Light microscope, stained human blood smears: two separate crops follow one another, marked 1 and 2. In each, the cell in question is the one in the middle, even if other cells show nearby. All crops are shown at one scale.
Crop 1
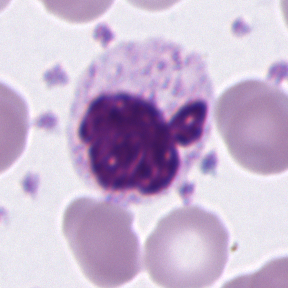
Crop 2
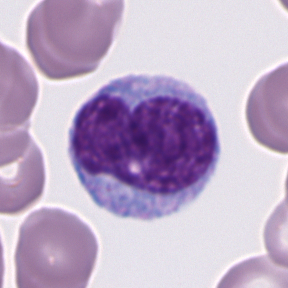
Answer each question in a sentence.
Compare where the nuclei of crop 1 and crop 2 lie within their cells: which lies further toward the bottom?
In crop 1 the nucleus is shifted more toward the bottom.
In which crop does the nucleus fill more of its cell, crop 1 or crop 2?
In crop 2 the nucleus takes up the larger part of its cell.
